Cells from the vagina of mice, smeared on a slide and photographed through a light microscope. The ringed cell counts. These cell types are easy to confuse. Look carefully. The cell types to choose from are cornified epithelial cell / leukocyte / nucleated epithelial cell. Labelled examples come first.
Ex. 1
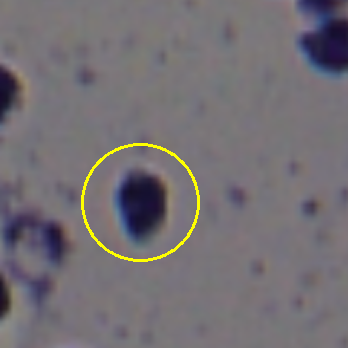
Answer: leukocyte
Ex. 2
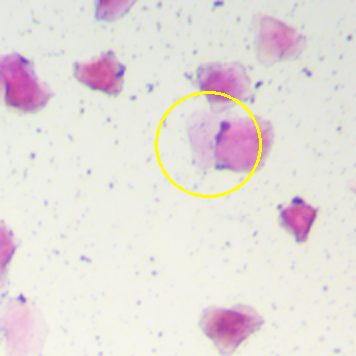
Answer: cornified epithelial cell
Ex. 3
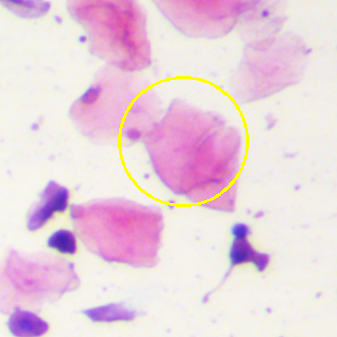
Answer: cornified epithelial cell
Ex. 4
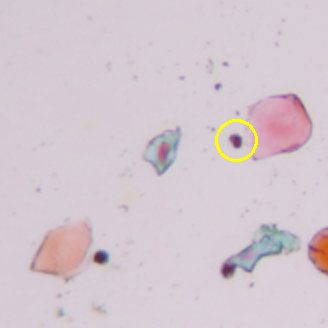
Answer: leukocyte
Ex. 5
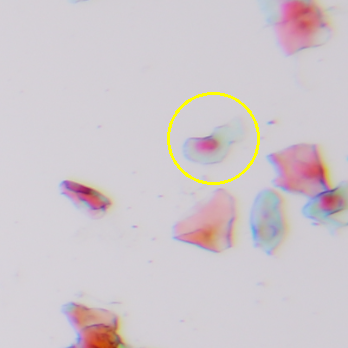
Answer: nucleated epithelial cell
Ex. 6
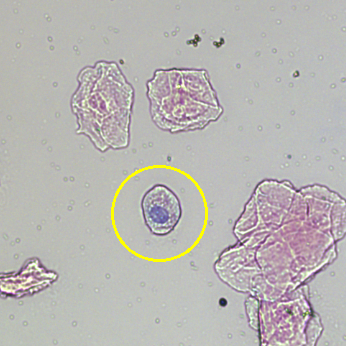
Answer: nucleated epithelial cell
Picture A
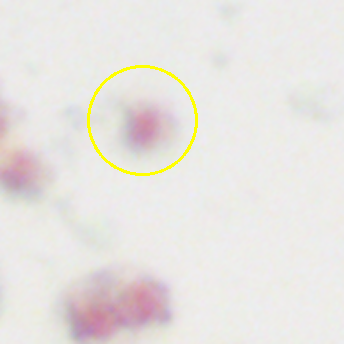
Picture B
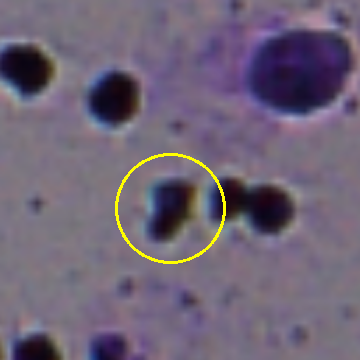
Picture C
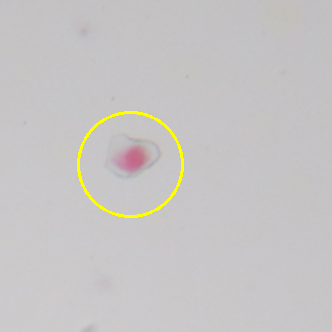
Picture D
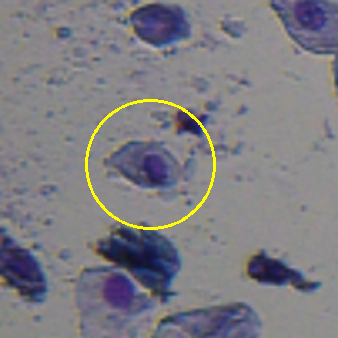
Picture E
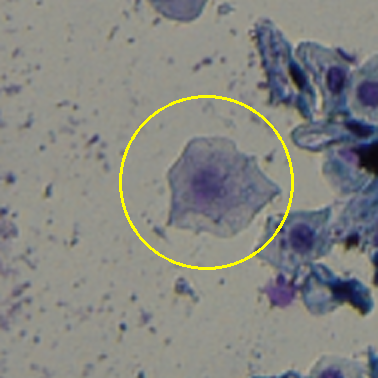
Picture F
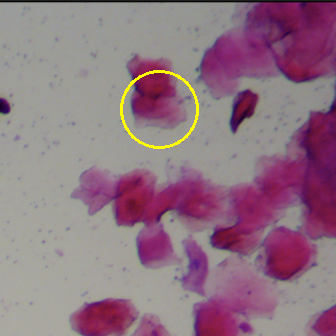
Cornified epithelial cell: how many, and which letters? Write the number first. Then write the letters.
1: F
